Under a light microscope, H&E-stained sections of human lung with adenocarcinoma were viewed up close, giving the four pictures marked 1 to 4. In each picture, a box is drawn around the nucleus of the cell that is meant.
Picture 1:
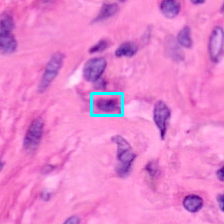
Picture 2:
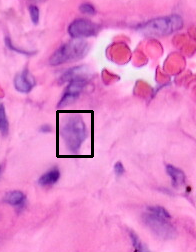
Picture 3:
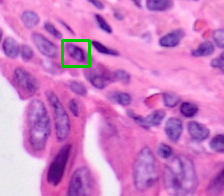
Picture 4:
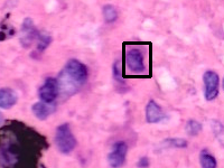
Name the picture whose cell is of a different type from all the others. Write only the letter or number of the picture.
2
